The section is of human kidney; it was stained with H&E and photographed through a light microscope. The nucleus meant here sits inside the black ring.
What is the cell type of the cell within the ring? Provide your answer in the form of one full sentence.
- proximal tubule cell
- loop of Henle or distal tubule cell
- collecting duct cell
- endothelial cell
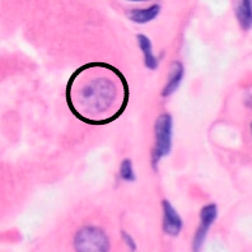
By cell type, the cell within the ring is a proximal tubule cell.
